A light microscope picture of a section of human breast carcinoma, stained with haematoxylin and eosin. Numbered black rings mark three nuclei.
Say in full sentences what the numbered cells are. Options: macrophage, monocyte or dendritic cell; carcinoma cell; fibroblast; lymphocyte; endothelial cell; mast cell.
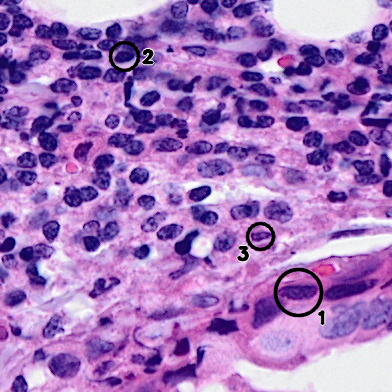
Cell 1 is a carcinoma cell, cell 2 is a lymphocyte and cell 3 is a macrophage, monocyte or dendritic cell.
